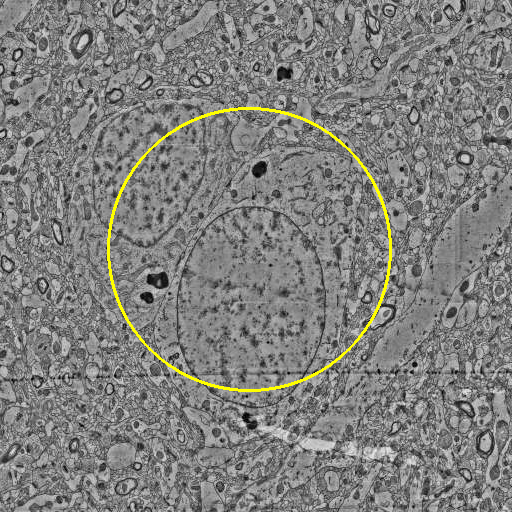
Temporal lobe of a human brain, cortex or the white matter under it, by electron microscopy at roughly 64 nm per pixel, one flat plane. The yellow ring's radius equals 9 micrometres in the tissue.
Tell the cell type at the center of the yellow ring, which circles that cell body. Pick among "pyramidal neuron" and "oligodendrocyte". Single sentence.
The ring is centered on the body of a pyramidal neuron.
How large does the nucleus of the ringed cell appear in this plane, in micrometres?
About 13 micrometres by about 10 micrometres in this plane.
